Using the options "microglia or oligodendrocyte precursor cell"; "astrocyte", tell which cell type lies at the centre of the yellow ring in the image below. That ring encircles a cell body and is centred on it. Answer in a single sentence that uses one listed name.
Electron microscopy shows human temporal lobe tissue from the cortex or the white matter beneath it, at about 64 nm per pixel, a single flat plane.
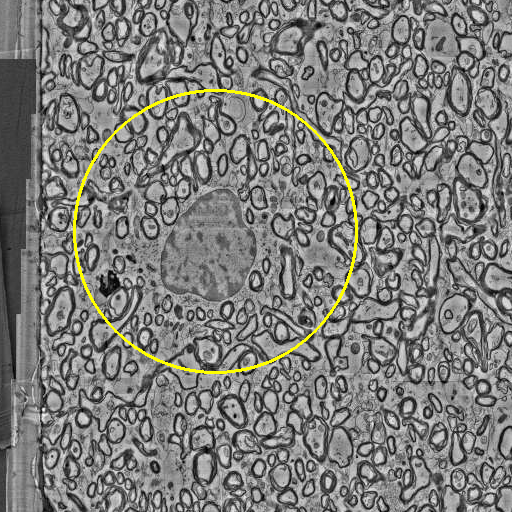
At the centre of the yellow ring lies the body of a microglial cell or oligodendrocyte precursor cell.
